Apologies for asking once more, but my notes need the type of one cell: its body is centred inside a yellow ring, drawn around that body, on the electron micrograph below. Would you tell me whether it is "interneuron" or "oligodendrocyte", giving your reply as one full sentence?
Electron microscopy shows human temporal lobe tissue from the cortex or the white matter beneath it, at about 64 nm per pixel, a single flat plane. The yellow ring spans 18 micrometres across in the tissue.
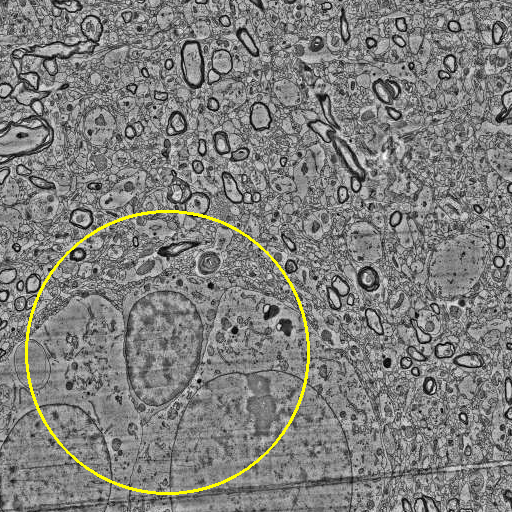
The cell that the yellow ring is centred on is an oligodendrocyte in this micrograph.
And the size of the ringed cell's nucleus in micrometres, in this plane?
In this plane the nucleus measures about 7 by 5 micrometres and is clearly longer than it is wide.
